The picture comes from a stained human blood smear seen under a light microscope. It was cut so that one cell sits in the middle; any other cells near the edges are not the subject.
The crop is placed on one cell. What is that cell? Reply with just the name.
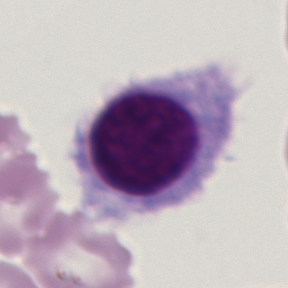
hairy cell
